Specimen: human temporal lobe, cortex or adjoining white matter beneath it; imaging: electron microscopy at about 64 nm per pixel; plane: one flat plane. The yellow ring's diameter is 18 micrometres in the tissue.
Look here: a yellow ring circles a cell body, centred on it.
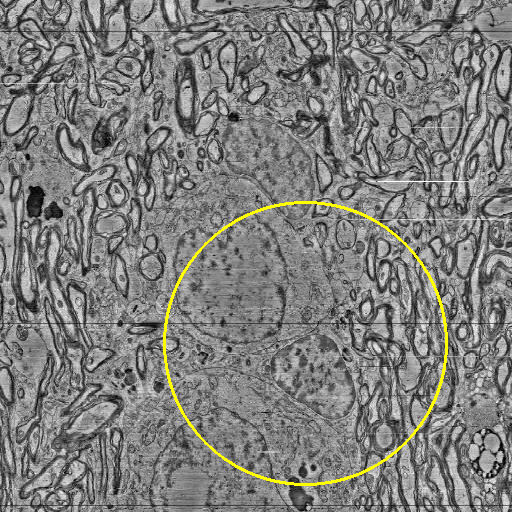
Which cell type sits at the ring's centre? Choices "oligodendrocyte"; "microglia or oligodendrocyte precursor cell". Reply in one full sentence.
The cell at the centre of the yellow ring in the picture is a microglial cell or oligodendrocyte precursor cell.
